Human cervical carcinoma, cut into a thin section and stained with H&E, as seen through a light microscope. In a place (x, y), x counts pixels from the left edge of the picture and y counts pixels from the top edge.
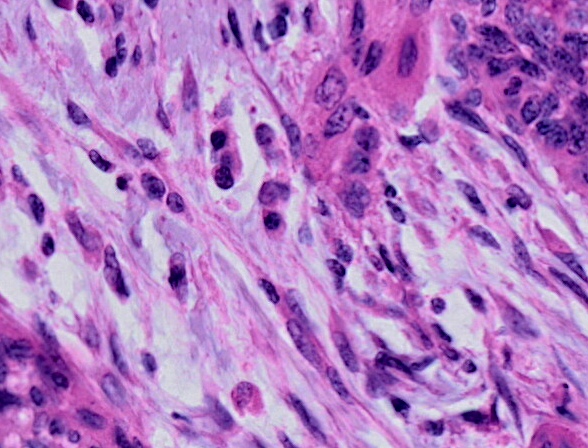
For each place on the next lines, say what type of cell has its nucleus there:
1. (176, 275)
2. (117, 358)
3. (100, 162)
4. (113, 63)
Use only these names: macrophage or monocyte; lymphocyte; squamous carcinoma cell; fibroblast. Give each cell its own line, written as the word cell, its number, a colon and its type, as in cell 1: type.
cell 1: lymphocyte
cell 2: fibroblast
cell 3: lymphocyte
cell 4: lymphocyte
